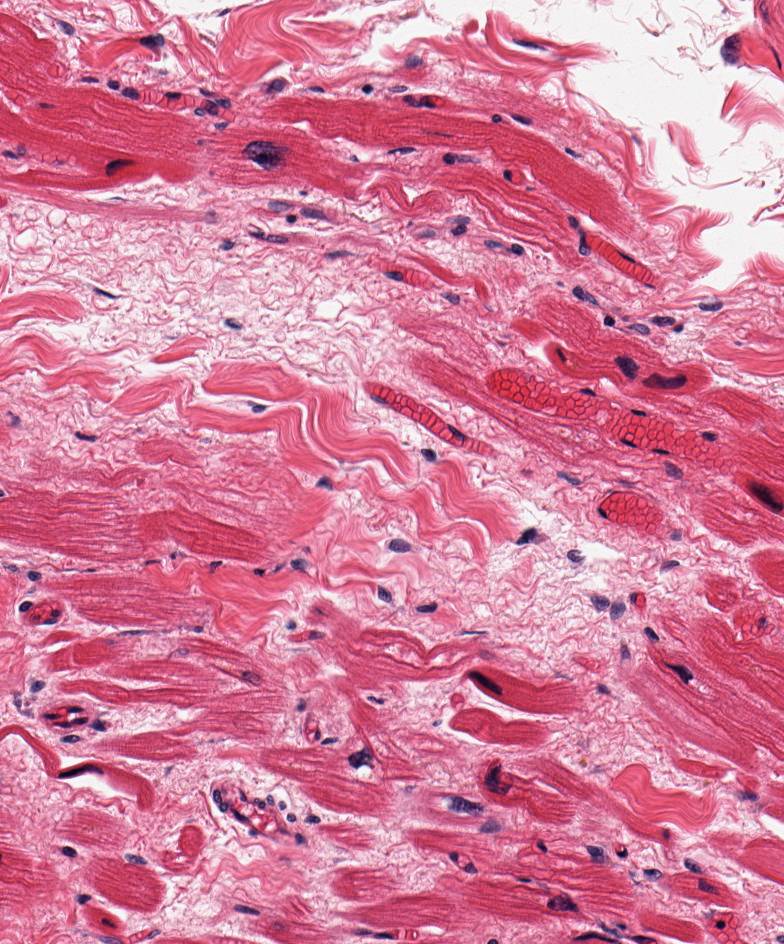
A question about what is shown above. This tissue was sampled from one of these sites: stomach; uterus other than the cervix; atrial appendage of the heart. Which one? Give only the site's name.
atrial appendage of the heart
